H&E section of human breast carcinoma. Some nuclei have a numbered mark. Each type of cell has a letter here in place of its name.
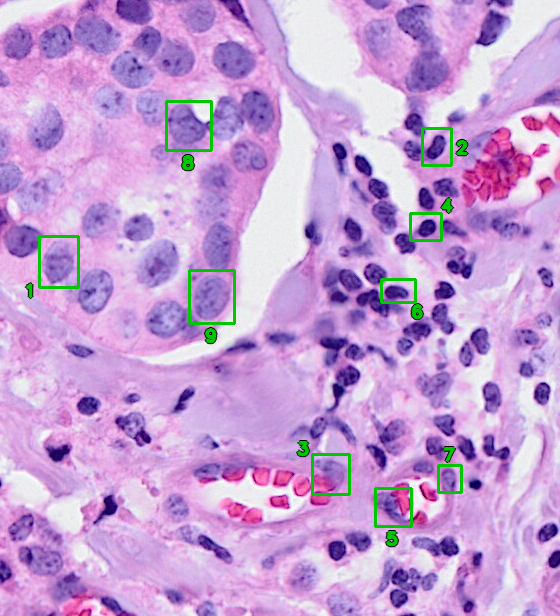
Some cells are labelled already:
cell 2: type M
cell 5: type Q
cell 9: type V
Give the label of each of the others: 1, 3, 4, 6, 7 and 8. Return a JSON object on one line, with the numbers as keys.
{"1": "type V", "3": "type Q", "4": "type M", "6": "type M", "7": "type Q", "8": "type V"}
